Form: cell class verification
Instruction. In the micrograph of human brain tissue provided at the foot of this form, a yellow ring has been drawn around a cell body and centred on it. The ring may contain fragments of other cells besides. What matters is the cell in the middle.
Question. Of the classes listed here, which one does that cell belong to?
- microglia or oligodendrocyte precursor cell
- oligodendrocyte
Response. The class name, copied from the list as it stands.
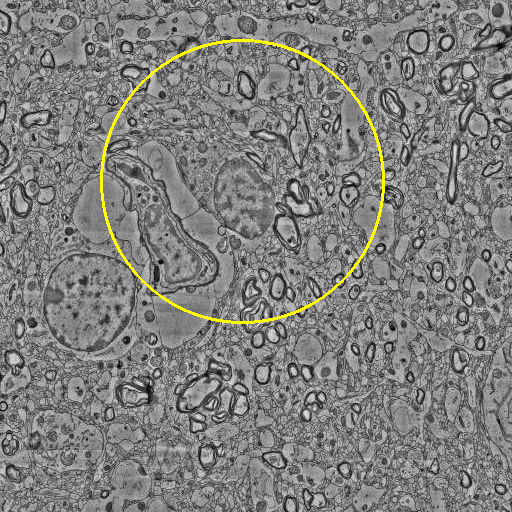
oligodendrocyte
